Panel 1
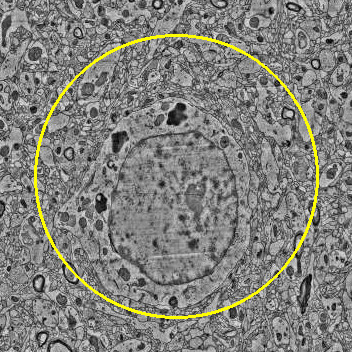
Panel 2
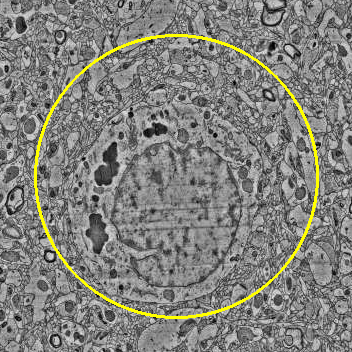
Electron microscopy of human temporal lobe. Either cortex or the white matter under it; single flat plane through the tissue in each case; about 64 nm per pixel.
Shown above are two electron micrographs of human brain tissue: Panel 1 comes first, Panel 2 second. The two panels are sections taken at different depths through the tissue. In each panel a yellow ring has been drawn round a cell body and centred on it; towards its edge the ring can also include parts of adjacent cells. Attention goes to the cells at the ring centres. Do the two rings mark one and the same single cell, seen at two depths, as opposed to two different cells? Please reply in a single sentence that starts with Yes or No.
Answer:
Yes, each ring singles out the same cell.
